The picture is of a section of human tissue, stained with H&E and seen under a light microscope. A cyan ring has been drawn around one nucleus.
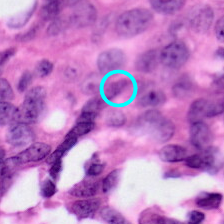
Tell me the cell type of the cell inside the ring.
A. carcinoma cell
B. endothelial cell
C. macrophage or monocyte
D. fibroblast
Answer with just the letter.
A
